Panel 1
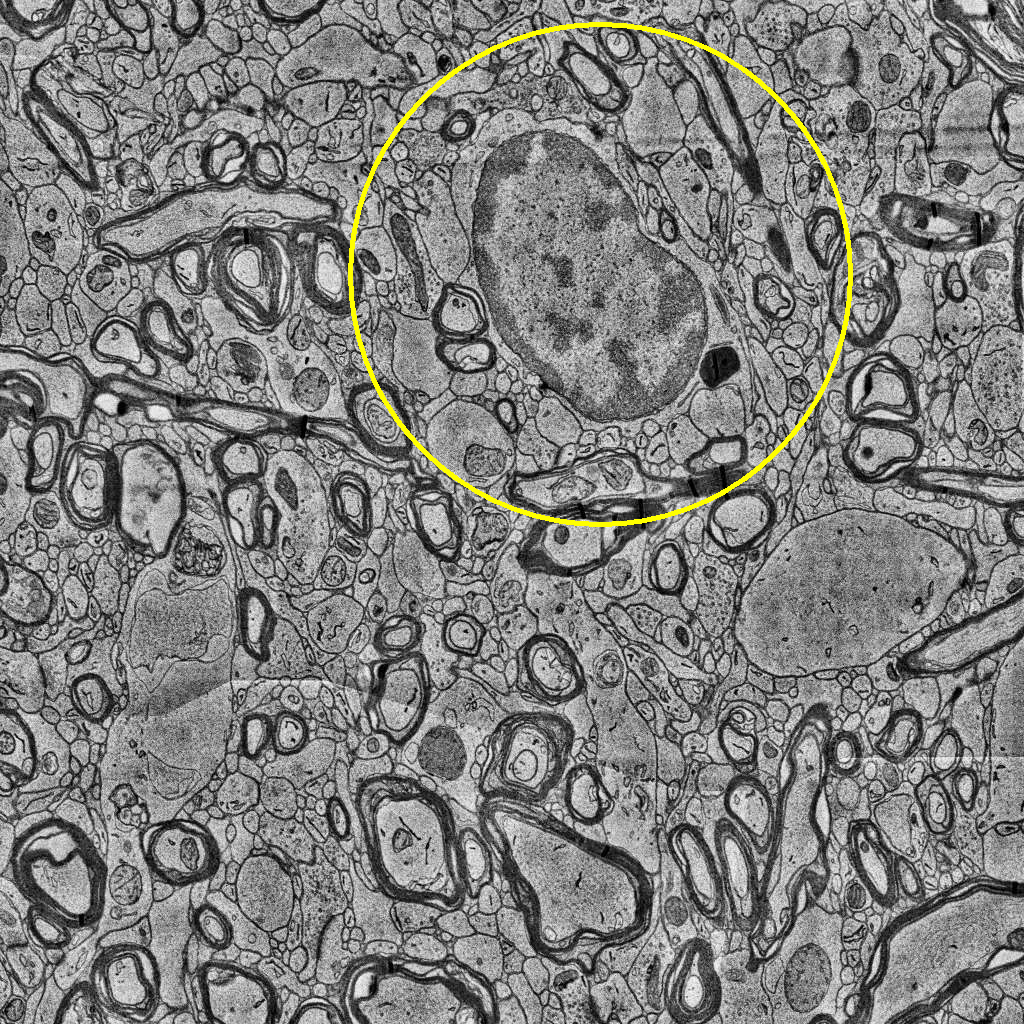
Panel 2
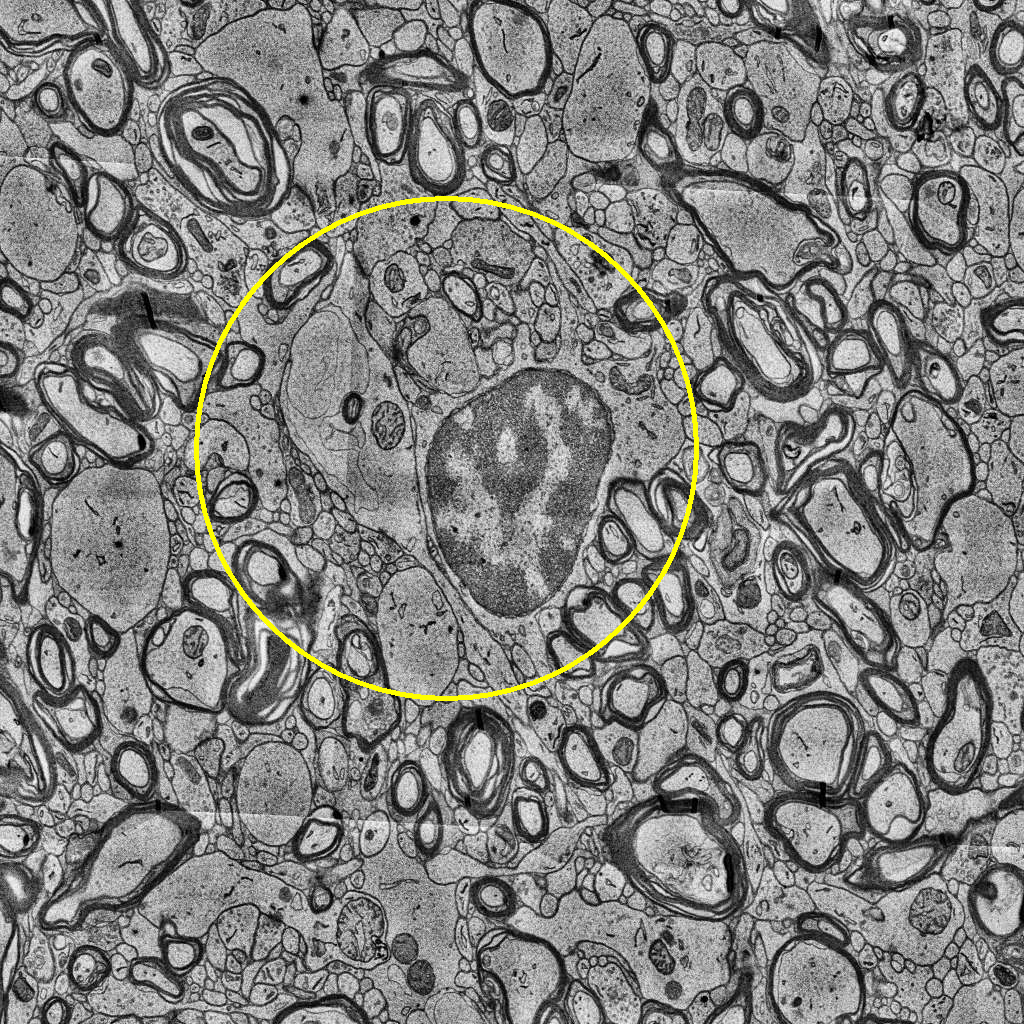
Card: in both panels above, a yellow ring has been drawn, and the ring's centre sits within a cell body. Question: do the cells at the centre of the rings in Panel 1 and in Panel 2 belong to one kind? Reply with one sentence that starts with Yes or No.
Yes, the cells at the ring centres of Panel 1 and Panel 2 are one kind of cell.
